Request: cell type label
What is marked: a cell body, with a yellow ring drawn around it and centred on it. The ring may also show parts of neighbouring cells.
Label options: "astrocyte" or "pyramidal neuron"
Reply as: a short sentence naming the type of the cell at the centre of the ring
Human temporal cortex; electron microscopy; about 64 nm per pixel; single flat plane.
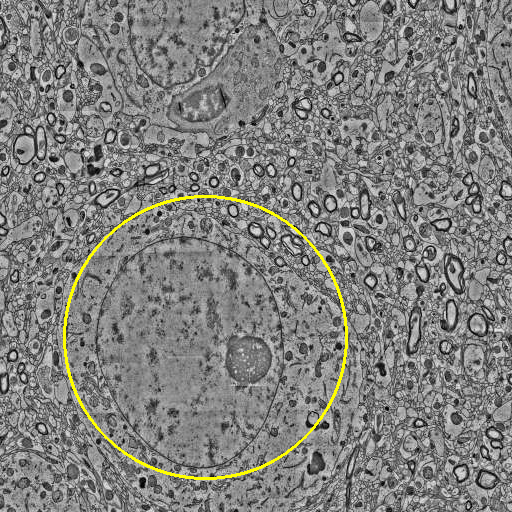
The marked cell body is that of a pyramidal neuron.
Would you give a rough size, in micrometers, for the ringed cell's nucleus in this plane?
Approximately 15 micrometres long and 12 micrometres wide, in this plane.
